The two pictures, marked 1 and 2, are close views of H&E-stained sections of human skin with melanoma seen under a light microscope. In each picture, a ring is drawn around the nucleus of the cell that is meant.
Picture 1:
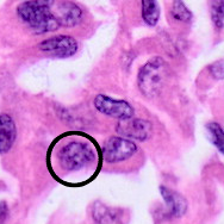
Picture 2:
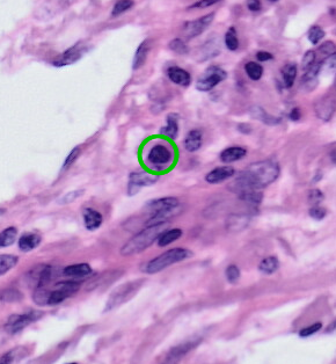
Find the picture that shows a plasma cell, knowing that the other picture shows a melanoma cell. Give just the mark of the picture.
2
